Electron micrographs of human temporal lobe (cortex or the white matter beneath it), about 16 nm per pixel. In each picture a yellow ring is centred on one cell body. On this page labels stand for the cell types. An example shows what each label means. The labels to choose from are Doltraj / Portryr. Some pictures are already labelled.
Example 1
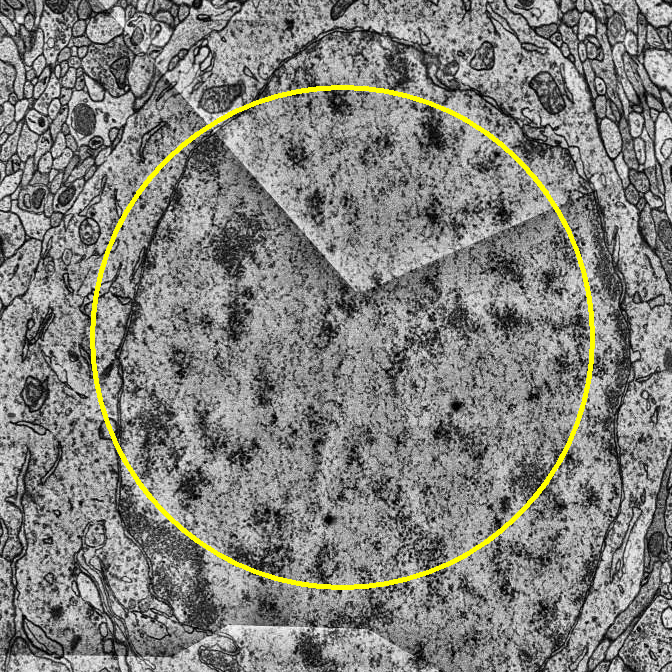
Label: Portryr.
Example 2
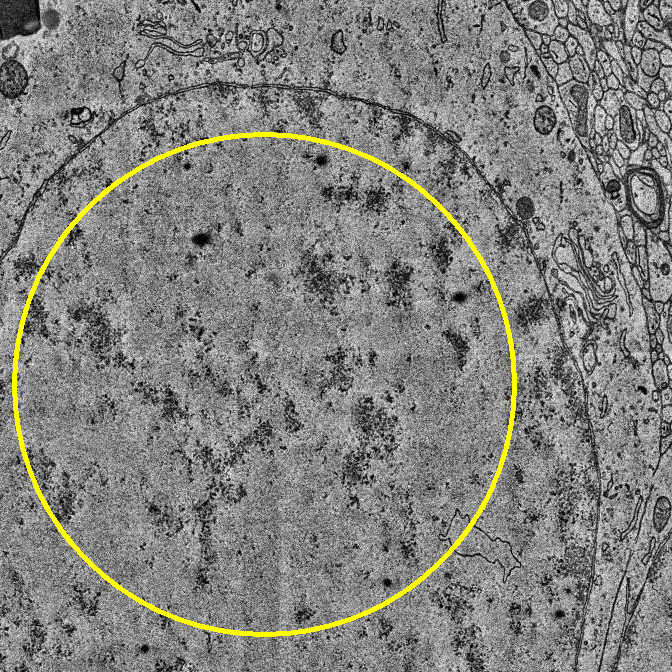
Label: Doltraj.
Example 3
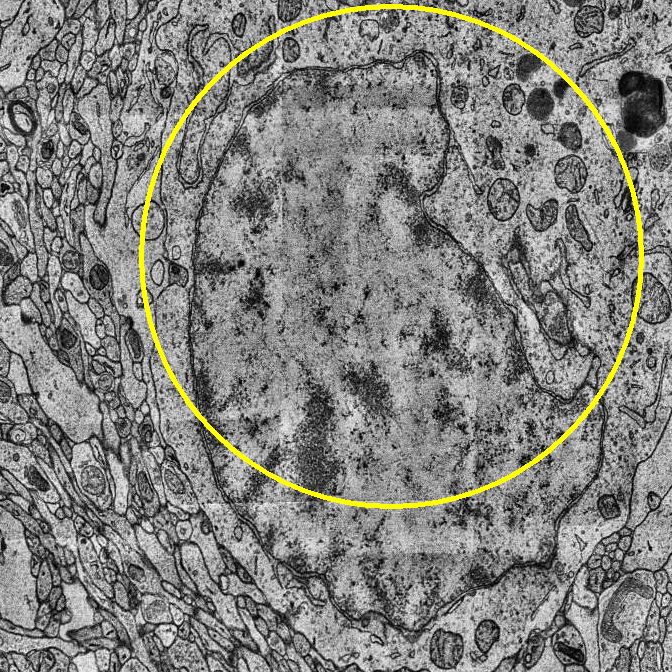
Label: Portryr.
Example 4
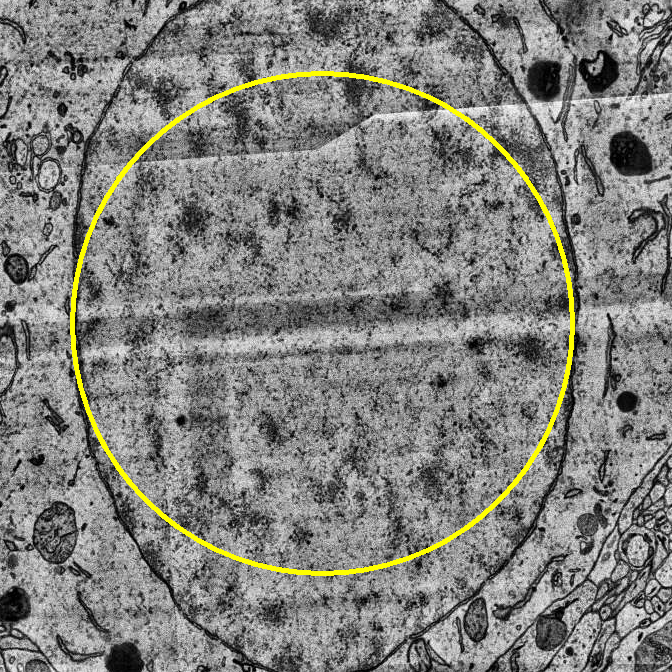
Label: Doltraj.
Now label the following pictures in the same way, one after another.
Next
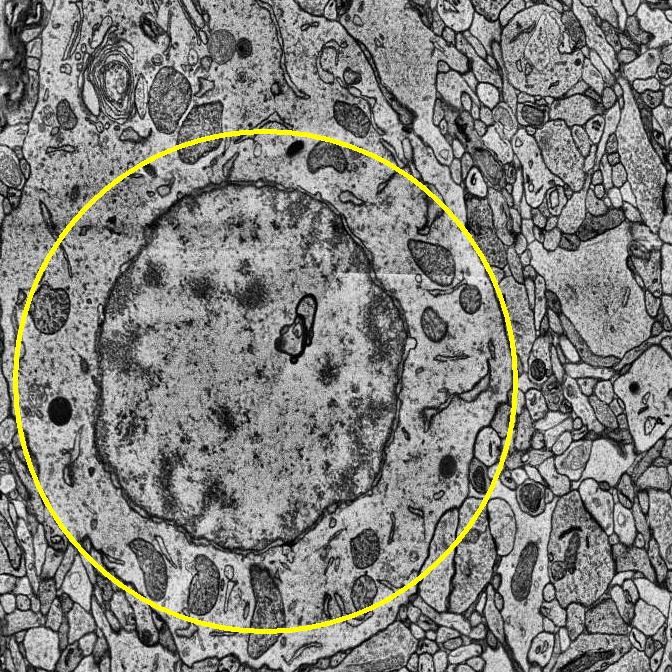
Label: Doltraj.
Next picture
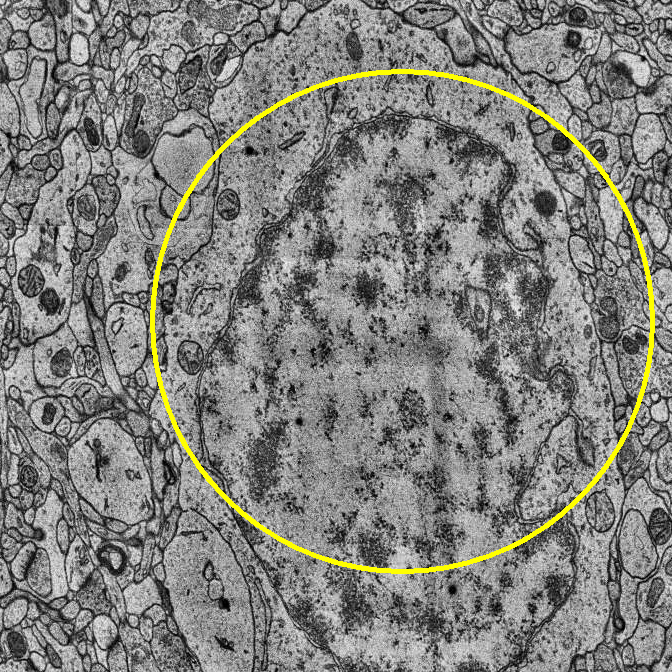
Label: Portryr.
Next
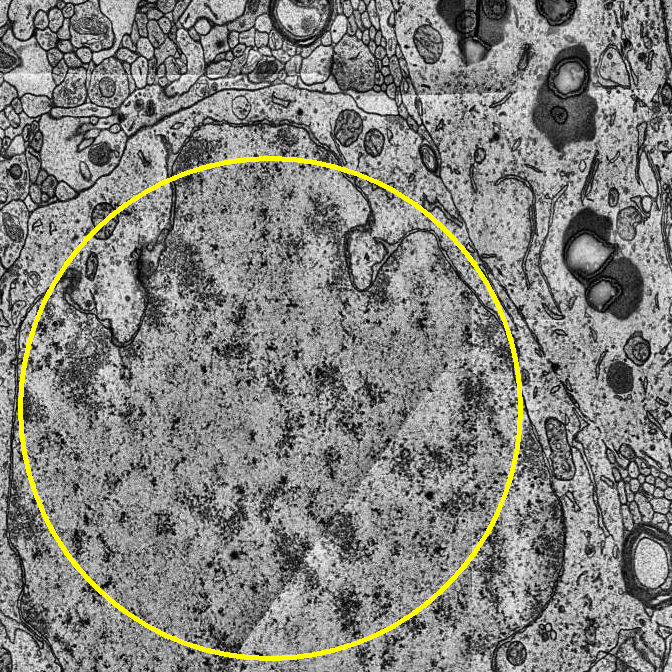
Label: Portryr.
